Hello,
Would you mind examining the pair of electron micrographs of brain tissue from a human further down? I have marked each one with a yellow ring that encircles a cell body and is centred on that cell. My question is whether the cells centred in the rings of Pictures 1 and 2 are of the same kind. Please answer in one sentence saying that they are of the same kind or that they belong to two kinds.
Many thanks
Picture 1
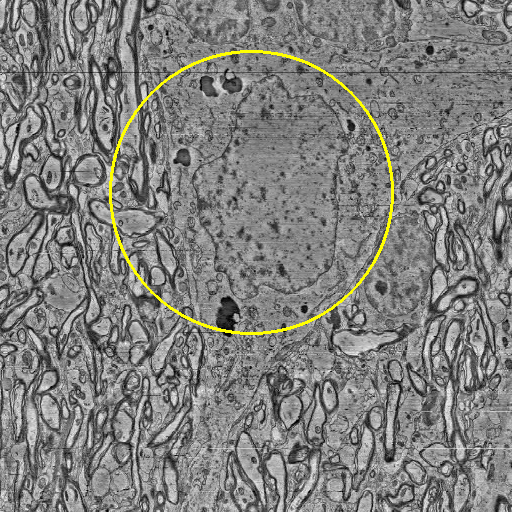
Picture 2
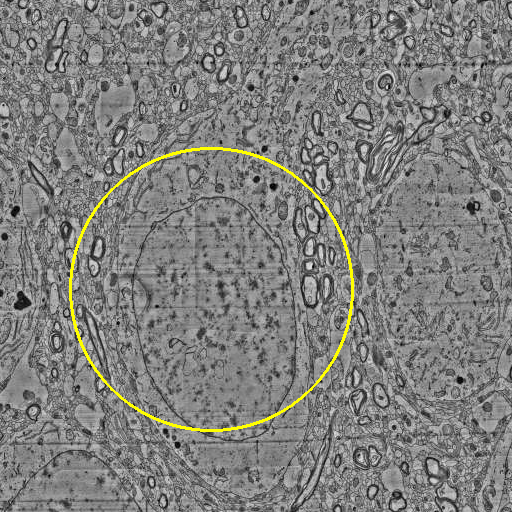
In Pictures 1 and 2, the cells at the heart of the rings are of the same kind.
